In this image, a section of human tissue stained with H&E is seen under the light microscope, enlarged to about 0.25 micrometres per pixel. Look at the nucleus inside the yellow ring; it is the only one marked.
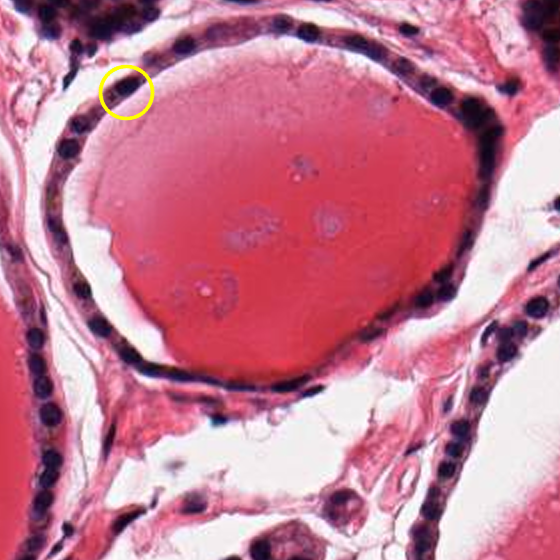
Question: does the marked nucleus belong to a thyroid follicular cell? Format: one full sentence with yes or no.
Yes, it is within a thyroid follicular cell that the marked nucleus lies.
